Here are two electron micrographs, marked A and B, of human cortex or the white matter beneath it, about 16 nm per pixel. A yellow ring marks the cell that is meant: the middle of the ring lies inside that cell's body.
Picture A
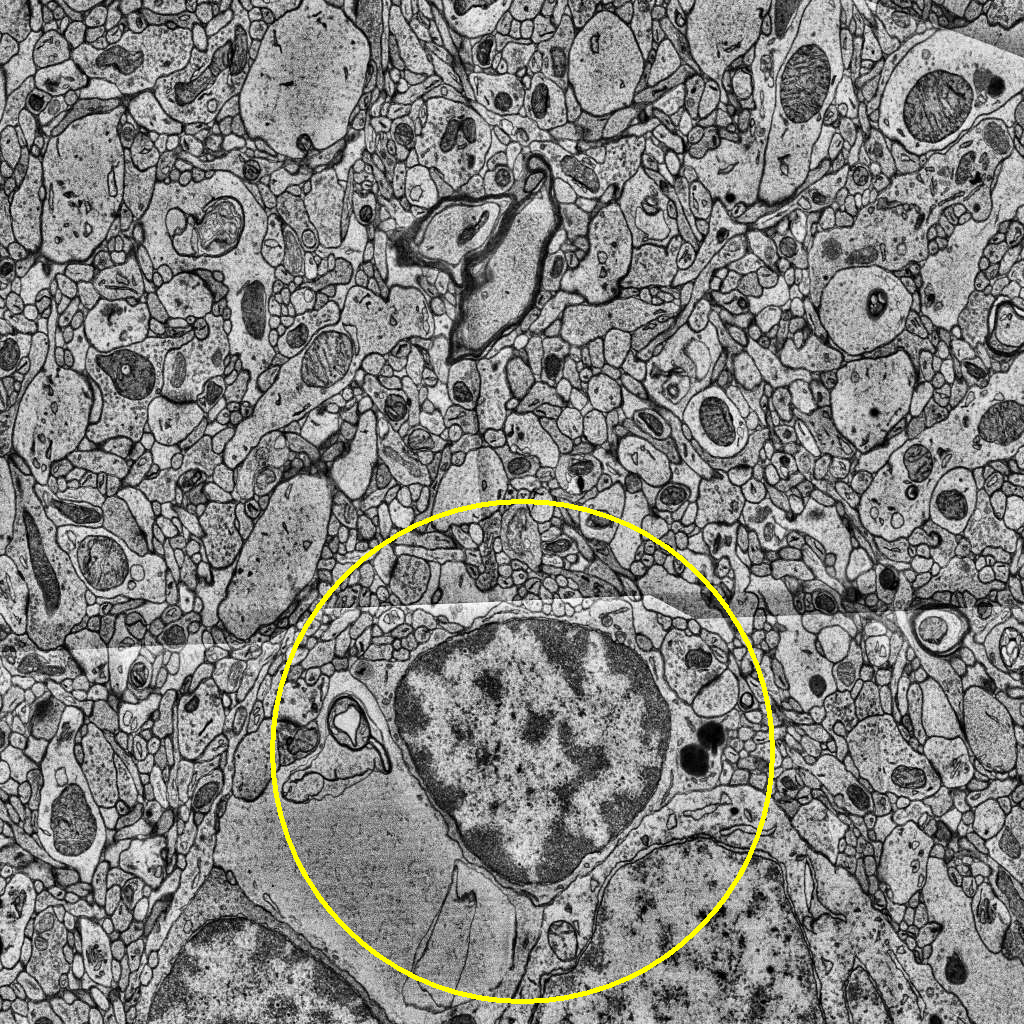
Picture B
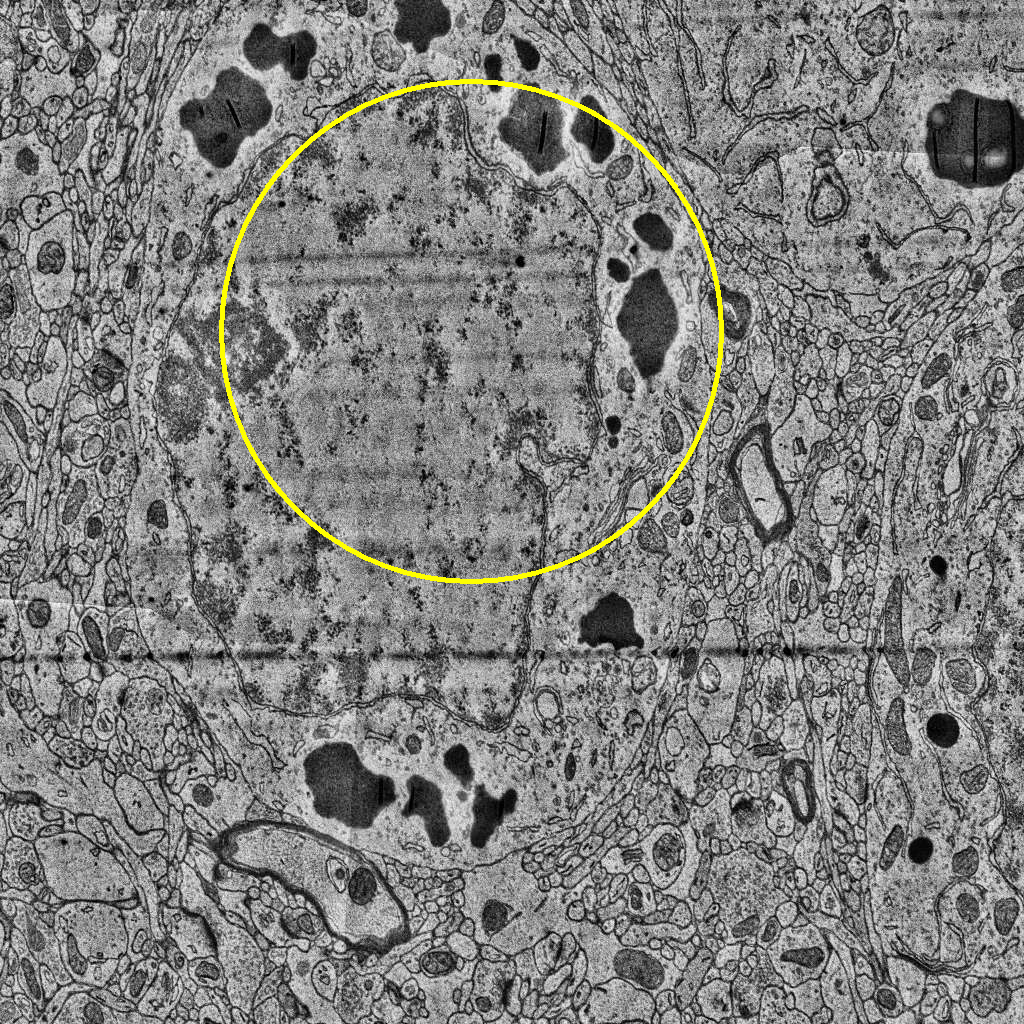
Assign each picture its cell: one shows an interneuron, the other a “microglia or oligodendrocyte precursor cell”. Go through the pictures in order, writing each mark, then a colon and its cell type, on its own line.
A: microglia or oligodendrocyte precursor cell
B: interneuron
